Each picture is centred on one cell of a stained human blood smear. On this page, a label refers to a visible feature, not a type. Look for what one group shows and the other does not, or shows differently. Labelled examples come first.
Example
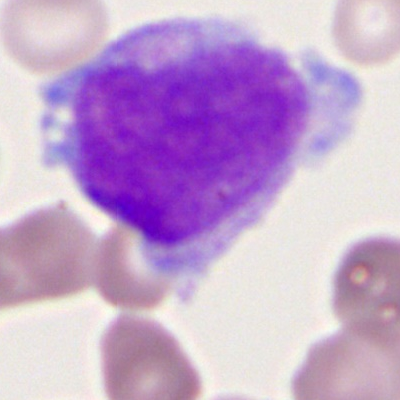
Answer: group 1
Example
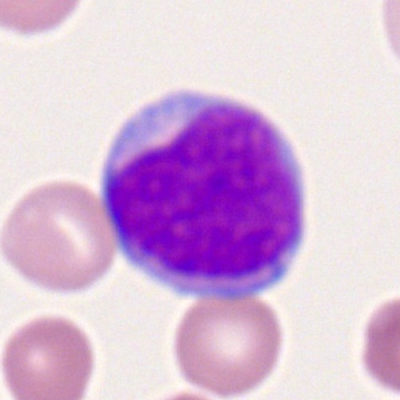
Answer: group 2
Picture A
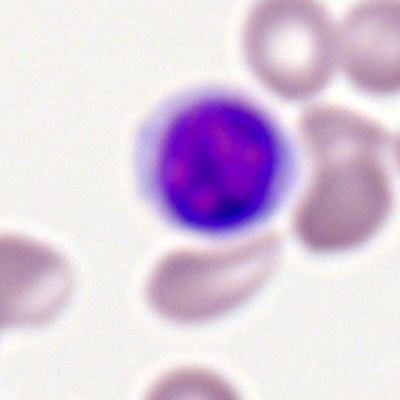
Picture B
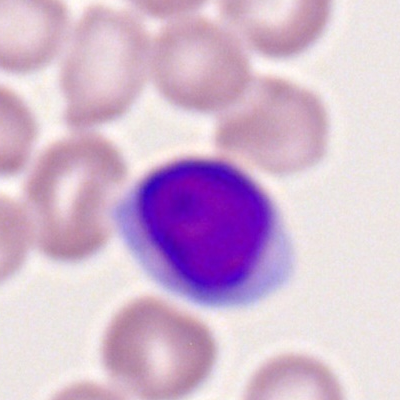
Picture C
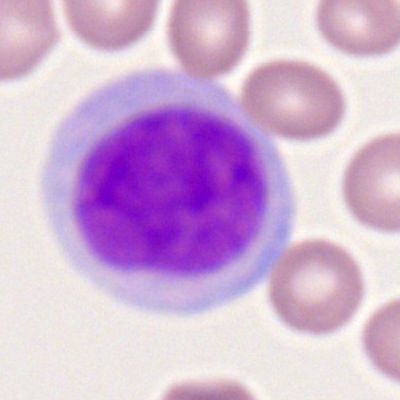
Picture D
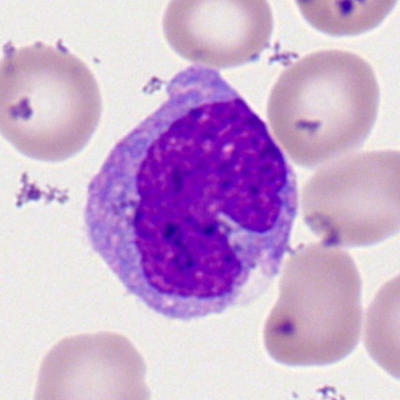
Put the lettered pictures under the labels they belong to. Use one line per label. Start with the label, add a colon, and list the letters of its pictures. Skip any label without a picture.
group 1: B, D
group 2: A, C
